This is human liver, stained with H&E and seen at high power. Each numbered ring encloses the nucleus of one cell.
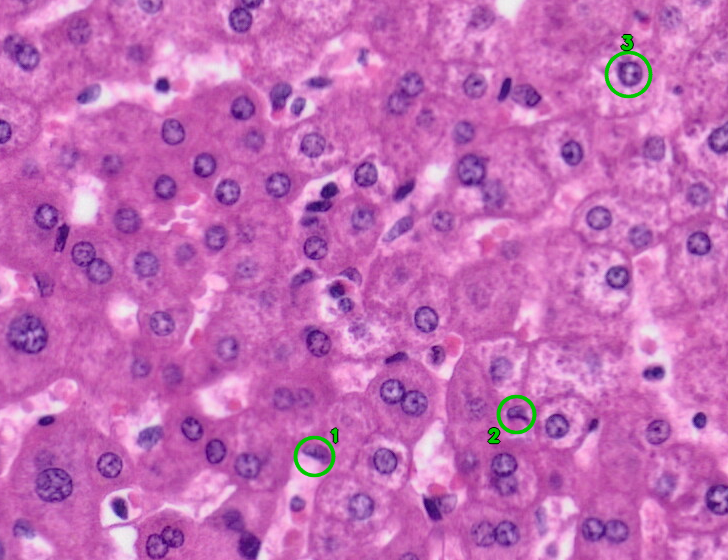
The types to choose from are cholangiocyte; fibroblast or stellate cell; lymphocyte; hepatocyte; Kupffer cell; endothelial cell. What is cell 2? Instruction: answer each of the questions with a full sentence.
The nucleus labeled 2 belongs to an endothelial cell.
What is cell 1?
The correct label for cell 1 is an endothelial cell.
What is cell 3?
In this section, number 3 marks a hepatocyte.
